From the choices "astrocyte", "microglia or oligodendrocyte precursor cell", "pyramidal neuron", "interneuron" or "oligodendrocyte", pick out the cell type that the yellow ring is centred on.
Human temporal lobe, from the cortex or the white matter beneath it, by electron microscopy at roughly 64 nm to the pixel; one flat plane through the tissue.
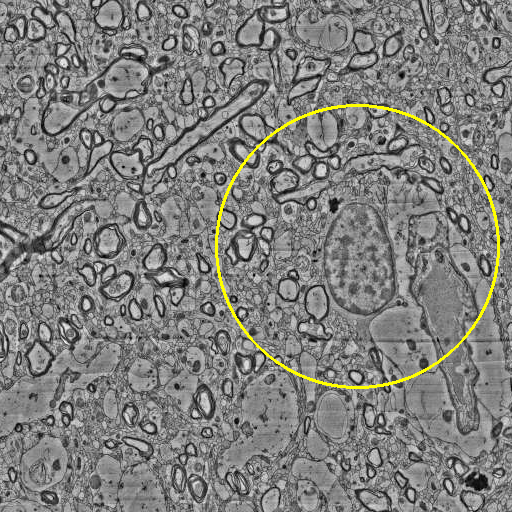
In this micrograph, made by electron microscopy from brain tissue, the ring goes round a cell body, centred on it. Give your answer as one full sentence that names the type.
The yellow ring is centred on an oligodendrocyte, whose cell body it encircles in the picture.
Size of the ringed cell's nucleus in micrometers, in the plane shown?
The ringed cell's nucleus is roughly 7 by 4 micrometres and clearly longer than it is wide in this plane.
